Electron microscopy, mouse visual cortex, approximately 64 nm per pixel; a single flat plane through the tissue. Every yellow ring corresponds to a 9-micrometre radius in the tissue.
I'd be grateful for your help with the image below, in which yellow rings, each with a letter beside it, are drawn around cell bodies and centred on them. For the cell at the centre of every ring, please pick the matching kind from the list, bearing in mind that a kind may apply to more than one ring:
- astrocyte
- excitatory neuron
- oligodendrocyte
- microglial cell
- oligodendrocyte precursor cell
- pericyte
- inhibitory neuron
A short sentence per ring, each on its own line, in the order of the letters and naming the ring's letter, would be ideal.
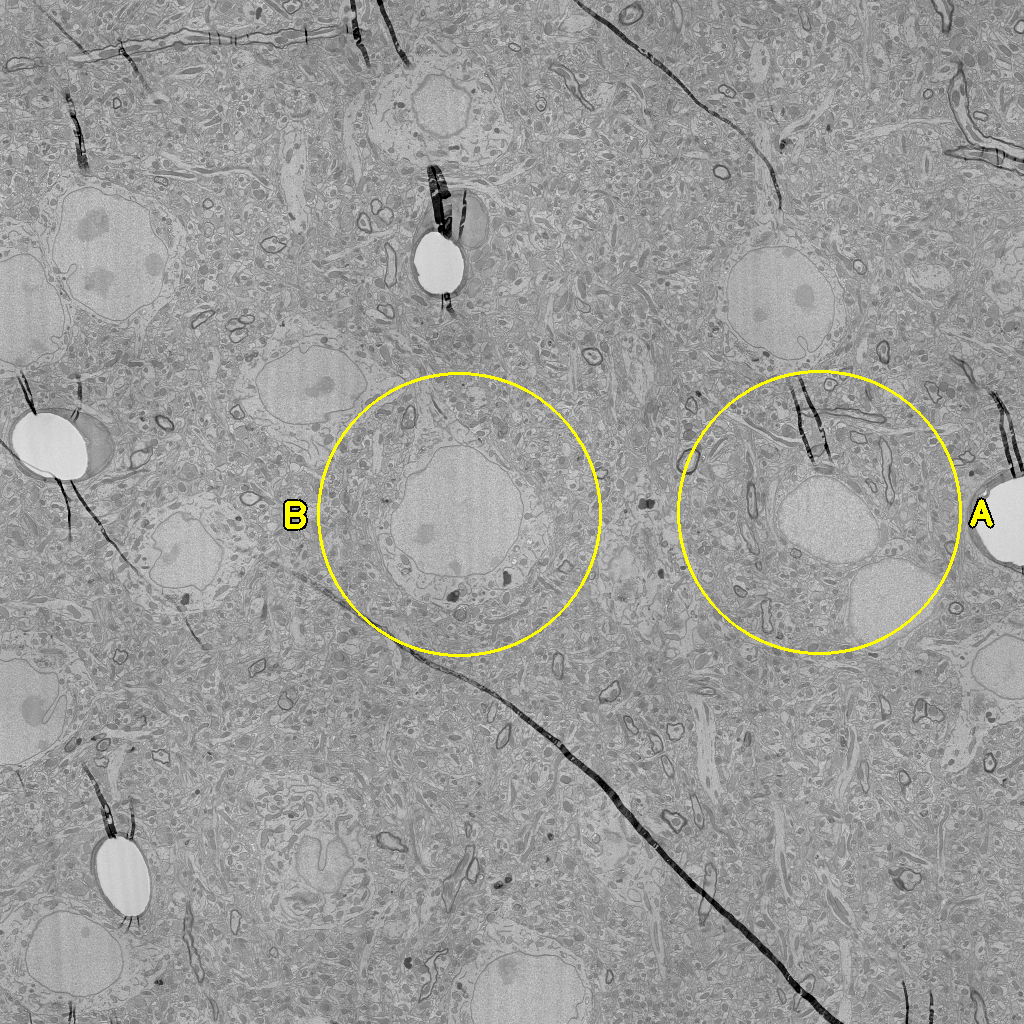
Inside ring A, the central cell is an astrocyte.
Inside ring B, the central cell is an excitatory neuron.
